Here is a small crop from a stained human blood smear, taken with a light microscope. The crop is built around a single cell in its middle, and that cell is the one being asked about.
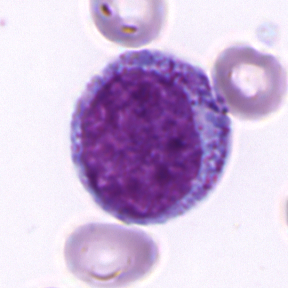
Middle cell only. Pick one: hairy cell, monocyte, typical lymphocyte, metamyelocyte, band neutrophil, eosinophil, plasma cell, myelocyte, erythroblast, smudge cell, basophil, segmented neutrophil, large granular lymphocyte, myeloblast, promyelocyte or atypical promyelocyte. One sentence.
Present in the middle of the crop is a promyelocyte.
